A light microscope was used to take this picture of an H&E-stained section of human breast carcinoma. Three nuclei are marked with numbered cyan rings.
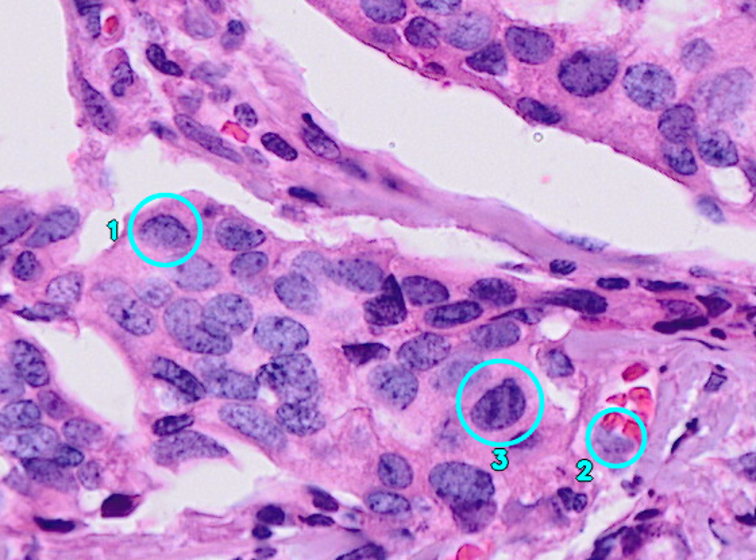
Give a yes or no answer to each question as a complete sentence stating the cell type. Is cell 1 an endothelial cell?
No, number 1 marks a carcinoma cell rather than an endothelial cell.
